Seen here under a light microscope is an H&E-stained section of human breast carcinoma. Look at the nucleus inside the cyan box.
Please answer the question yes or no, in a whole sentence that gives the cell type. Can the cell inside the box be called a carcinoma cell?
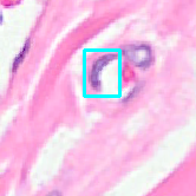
No, just to correct that, the cell inside the box is an endothelial cell and not a carcinoma cell.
